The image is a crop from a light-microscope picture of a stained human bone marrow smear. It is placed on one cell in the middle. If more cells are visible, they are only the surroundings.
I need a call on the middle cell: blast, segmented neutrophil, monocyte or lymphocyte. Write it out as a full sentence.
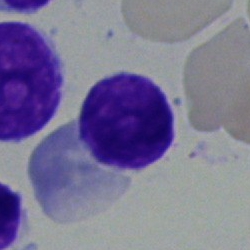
Looking at the middle of the crop, the cell there is a lymphocyte.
